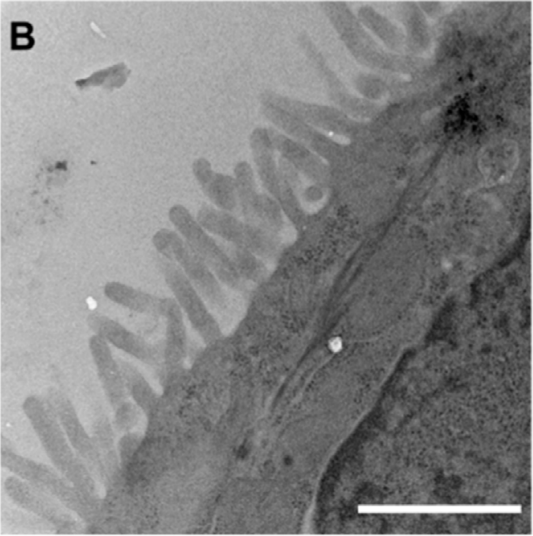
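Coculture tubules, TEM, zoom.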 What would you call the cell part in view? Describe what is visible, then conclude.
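Dense microvilli. The projections have rounded tips and lie side by side along the surface.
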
